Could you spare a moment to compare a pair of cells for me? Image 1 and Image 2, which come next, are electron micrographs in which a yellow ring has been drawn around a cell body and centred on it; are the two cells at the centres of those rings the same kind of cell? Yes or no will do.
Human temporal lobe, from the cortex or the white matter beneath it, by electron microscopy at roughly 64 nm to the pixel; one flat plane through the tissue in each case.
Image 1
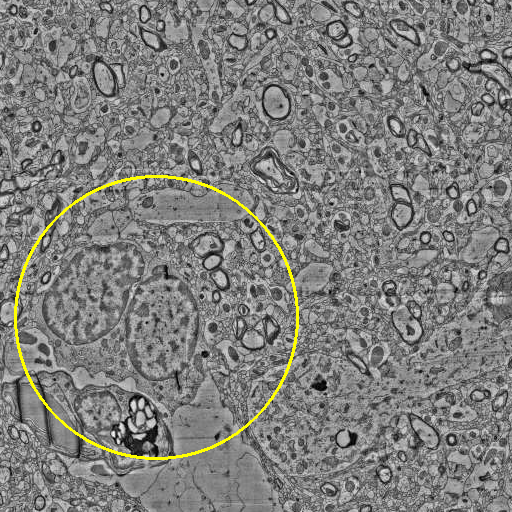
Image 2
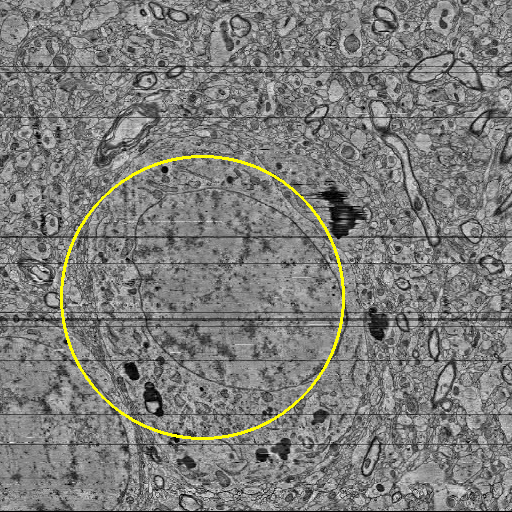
no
